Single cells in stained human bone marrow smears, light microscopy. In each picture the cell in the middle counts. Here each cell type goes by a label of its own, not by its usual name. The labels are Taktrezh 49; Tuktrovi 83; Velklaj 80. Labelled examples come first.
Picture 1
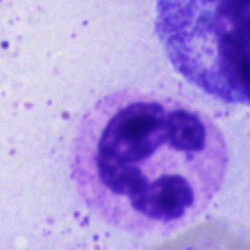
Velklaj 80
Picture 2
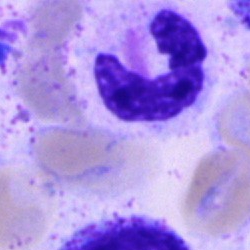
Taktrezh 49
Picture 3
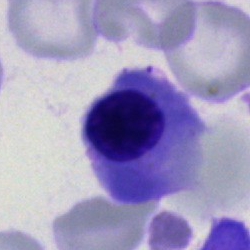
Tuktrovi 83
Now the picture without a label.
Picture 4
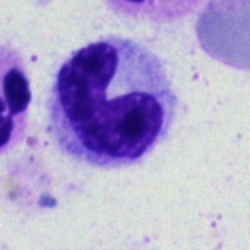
Taktrezh 49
